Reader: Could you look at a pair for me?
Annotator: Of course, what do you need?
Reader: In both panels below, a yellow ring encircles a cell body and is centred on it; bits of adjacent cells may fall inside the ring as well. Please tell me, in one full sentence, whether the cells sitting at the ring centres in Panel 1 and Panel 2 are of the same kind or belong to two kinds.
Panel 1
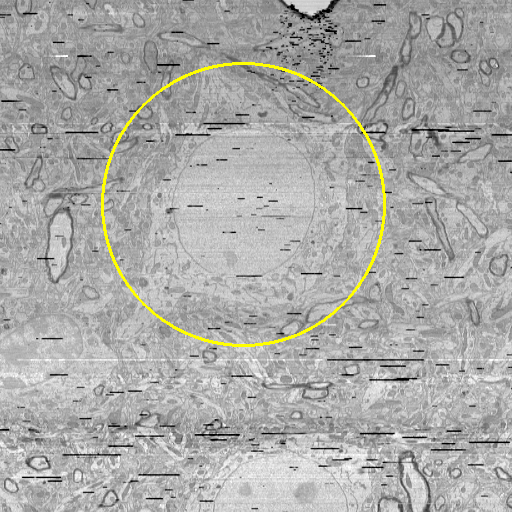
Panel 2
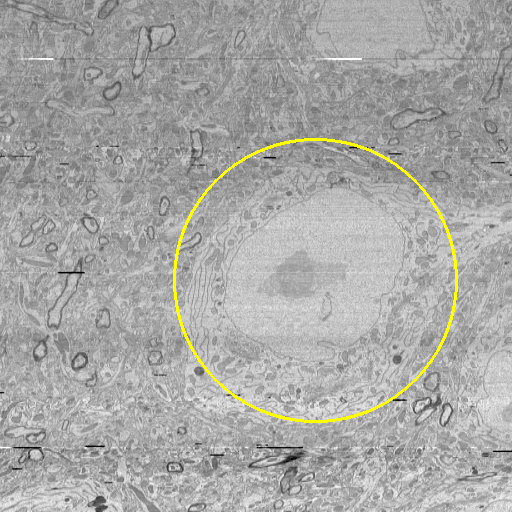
The cell at the ring's centre in Panel 1 and the one in Panel 2 are of the same kind.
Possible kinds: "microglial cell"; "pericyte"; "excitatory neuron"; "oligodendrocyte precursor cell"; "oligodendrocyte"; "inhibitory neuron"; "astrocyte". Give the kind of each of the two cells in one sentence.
The first and the second cell are each an excitatory neuron.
